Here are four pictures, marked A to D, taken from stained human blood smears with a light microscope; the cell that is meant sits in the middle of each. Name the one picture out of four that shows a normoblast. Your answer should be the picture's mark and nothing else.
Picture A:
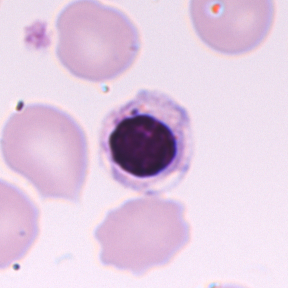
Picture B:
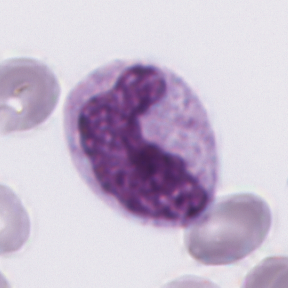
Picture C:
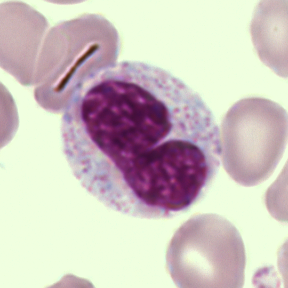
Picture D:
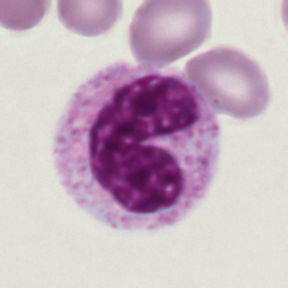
A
